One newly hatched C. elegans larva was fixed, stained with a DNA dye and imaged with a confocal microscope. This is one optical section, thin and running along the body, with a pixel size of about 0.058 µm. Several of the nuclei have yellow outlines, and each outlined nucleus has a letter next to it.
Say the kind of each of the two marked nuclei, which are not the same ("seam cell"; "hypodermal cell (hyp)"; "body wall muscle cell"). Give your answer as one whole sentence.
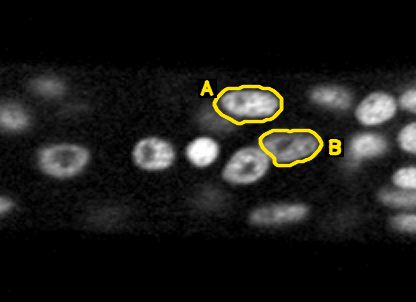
B belongs to a hypodermal cell (hyp), and A to a body wall muscle cell.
